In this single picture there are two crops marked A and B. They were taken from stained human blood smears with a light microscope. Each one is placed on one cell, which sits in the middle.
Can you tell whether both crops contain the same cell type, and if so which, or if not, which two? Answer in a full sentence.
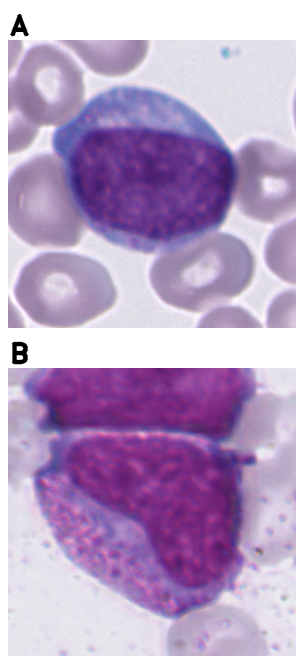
Yes, the cells found in the middle of both crops are promyelocytes.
